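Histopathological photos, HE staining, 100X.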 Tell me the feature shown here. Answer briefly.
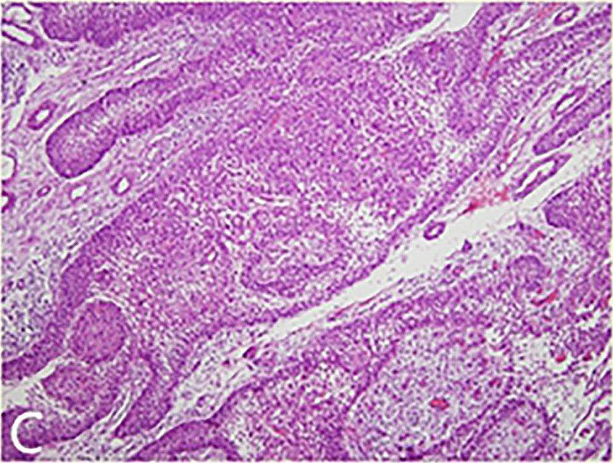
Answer: follicular or plexiform pattern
